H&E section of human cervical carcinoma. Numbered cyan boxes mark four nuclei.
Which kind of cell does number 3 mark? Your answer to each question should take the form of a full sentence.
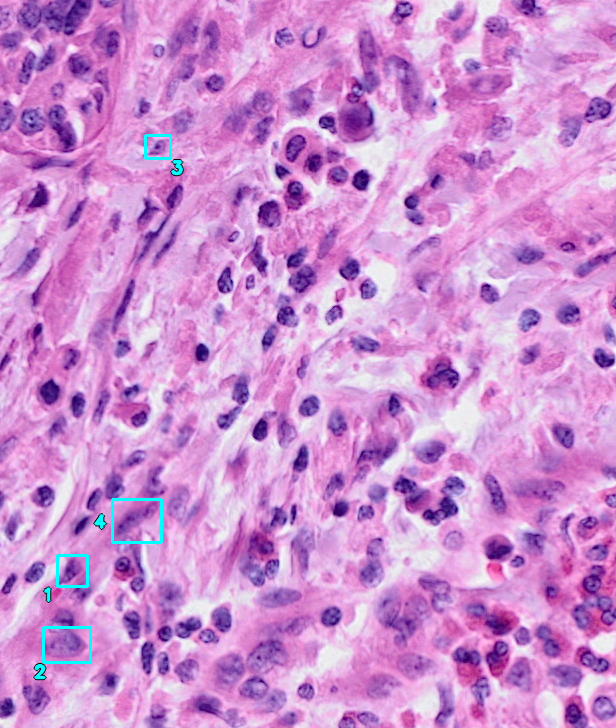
Cell number 3 in this section is a fibroblast.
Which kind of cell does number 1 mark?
In this section, number 1 marks an endothelial cell.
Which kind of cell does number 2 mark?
The numeral 2 marks an endothelial cell in this section.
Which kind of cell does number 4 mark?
Number 4 is placed on an endothelial cell here.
